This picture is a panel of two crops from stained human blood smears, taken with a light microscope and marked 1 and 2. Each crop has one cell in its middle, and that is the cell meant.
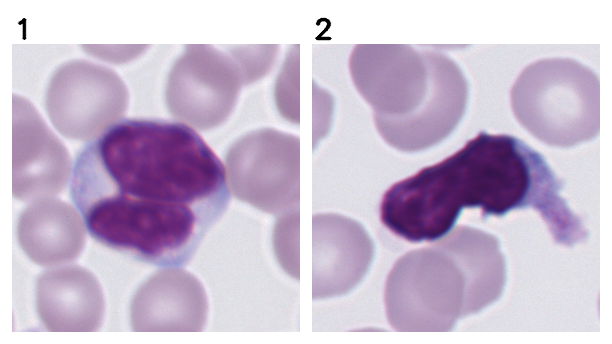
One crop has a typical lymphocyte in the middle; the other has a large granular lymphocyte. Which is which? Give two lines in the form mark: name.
1: large granular lymphocyte
2: typical lymphocyte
